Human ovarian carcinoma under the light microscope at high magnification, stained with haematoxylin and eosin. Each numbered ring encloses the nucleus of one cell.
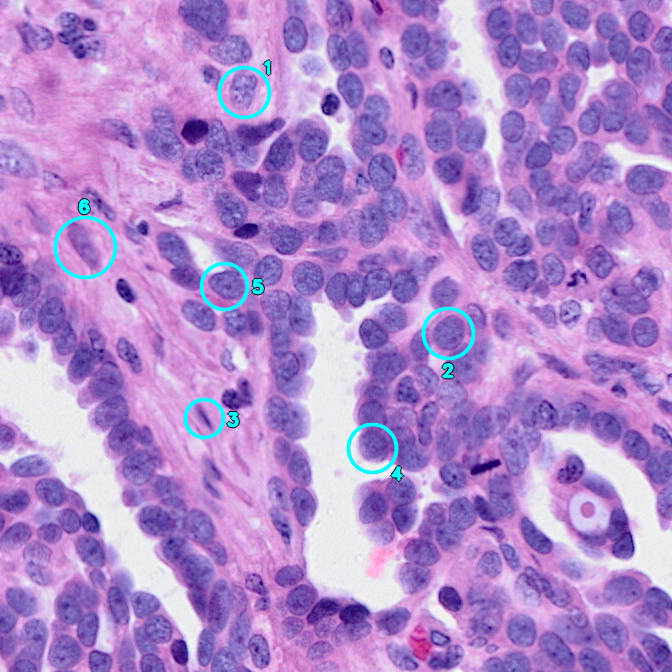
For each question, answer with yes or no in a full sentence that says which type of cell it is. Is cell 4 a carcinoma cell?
Yes, the nucleus numbered 4 belongs to a carcinoma cell.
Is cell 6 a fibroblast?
Yes, as for number 6, the cell is a fibroblast.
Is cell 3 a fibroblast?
Yes, cell 3 is a fibroblast in this tissue section.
